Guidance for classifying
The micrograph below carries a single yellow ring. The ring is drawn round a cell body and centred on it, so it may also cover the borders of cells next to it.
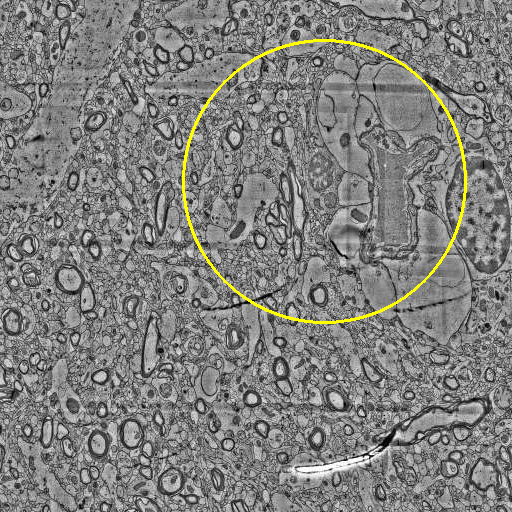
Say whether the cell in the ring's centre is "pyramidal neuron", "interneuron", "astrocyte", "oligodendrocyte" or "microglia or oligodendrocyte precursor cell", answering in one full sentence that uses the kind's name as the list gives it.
Within the yellow ring, an oligodendrocyte is the cell whose body sits at the centre.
